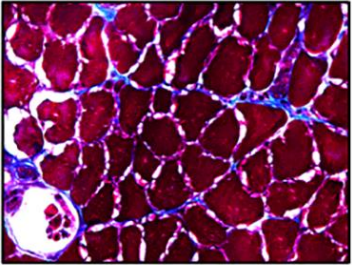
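This cross-section of skeletal muscle shows polygonal muscle fibres stained deep red, outlined by pale gaps and thin bluish connective tissue. Near the lower left edge there is a round blood vessel with an open, pale lumen containing a few red-stained cells. Blue-stained connective tissue is visible along the upper left and between some fibres. The fibres differ noticeably in size, and some have more rounded outlines.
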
